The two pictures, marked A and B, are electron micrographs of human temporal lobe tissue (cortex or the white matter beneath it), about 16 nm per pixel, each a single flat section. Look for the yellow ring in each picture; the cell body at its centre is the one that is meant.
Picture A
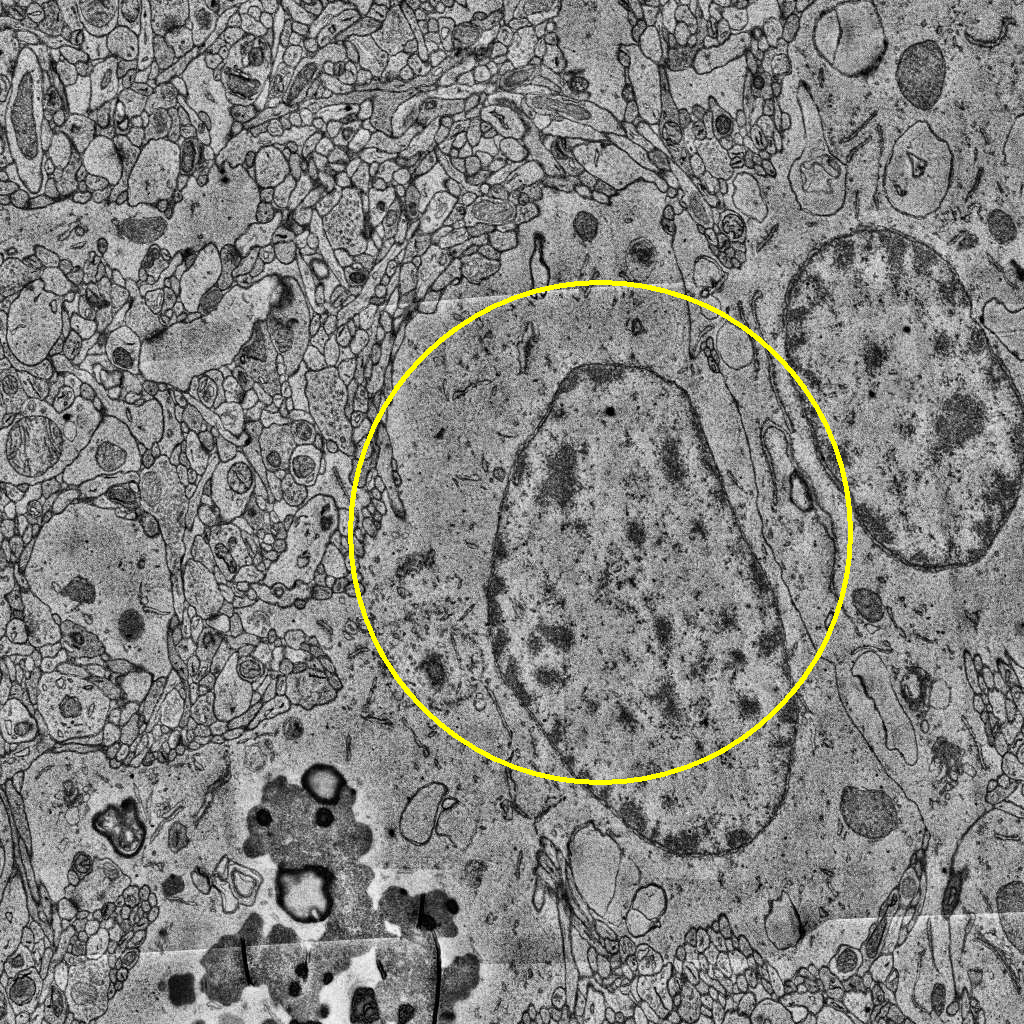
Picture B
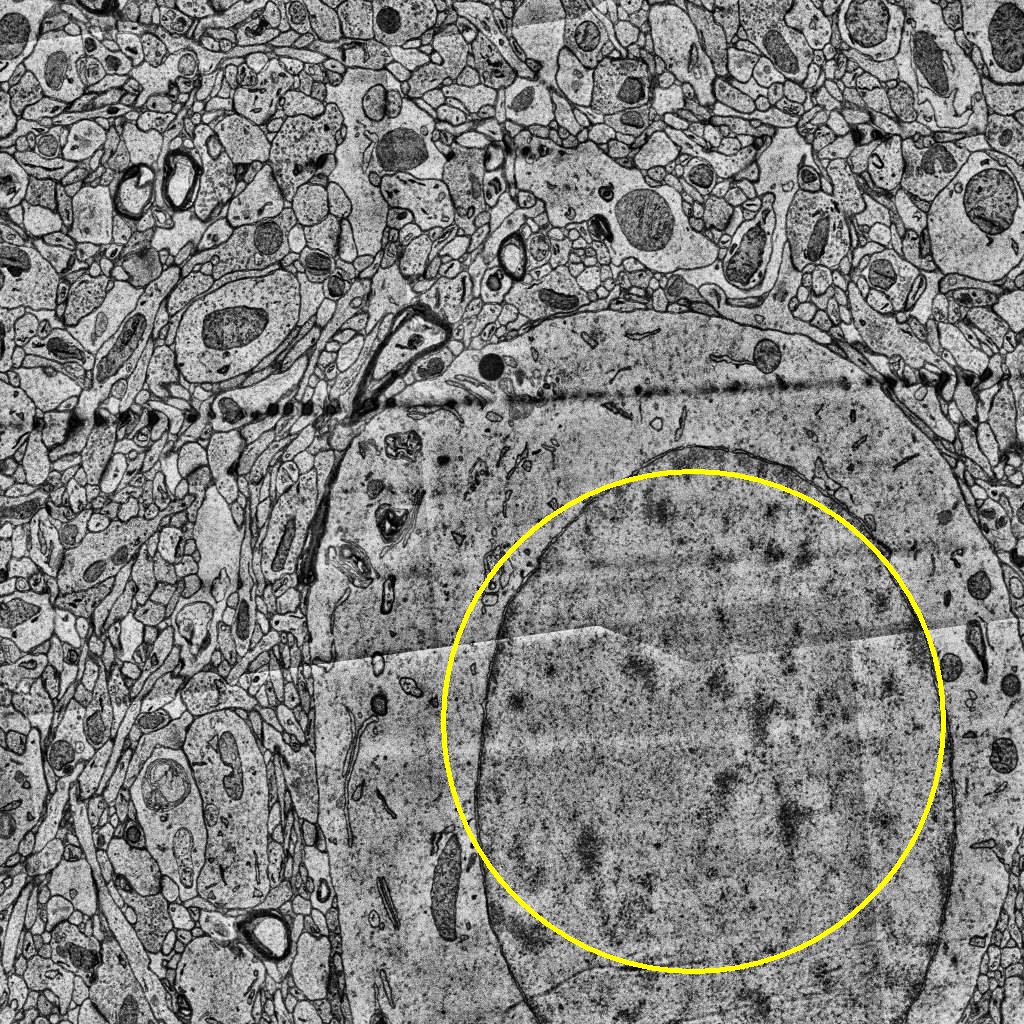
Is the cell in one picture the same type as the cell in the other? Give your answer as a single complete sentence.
No; the cell in picture A is an astrocyte, while the one in picture B is a pyramidal neuron.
